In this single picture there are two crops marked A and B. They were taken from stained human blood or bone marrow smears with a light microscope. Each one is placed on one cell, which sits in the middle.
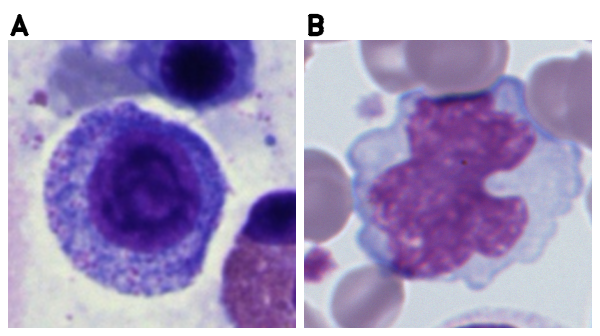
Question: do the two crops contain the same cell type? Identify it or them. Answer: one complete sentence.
No, crop A is to be identified as a promyelocyte and crop B as a monocyte.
